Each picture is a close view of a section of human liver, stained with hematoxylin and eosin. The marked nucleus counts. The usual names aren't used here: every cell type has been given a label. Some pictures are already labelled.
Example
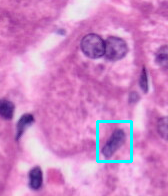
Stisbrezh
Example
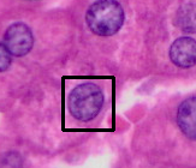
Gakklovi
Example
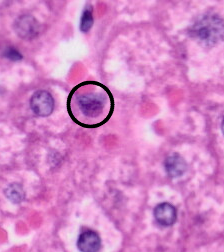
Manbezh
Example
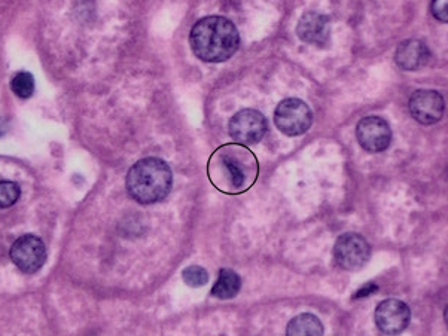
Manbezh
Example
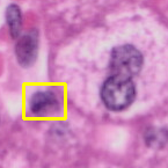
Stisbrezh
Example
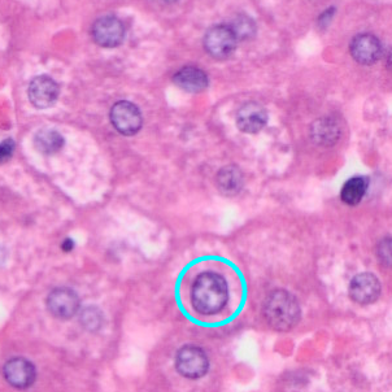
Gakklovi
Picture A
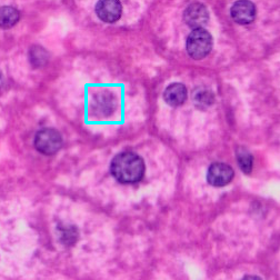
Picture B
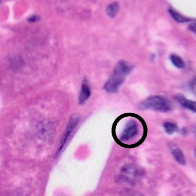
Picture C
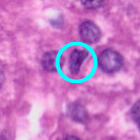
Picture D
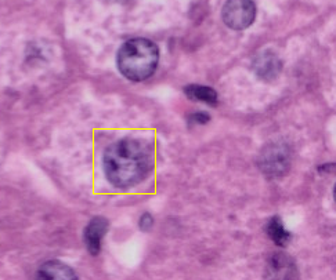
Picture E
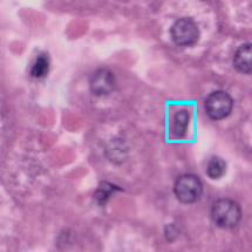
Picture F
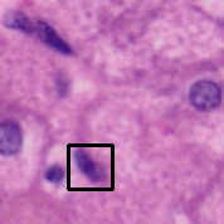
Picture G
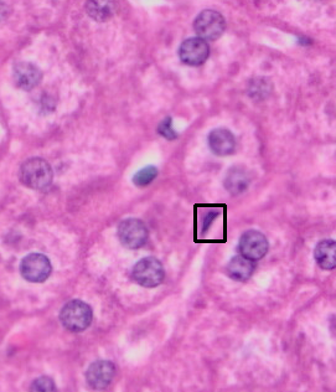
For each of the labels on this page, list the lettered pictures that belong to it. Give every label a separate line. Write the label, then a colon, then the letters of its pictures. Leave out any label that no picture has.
Stisbrezh: B, C, E, F, G
Gakklovi: A, D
